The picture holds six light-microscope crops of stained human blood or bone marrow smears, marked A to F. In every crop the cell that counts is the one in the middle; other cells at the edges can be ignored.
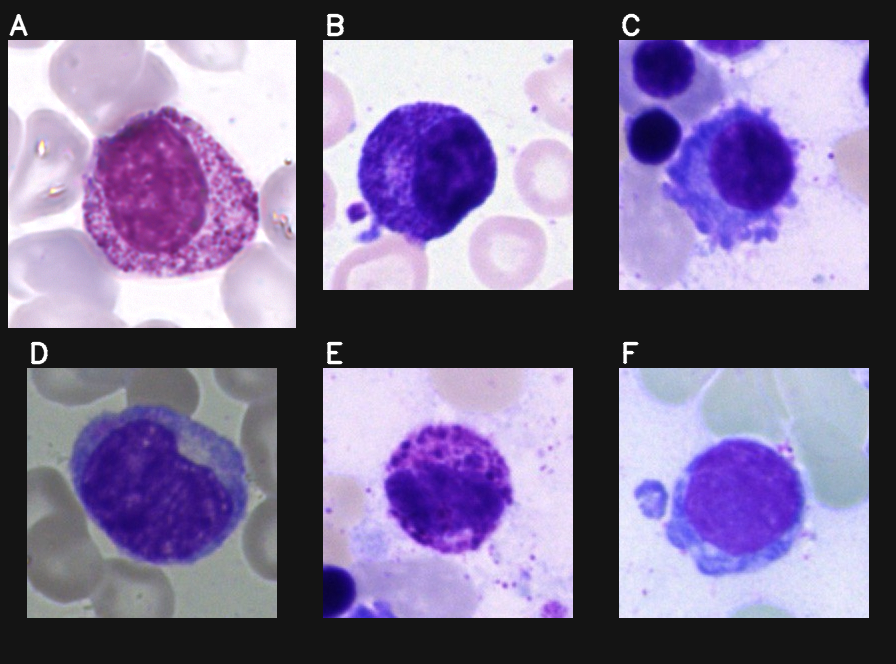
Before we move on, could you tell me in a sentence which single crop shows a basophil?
Among these crops, crop E holds a basophil.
